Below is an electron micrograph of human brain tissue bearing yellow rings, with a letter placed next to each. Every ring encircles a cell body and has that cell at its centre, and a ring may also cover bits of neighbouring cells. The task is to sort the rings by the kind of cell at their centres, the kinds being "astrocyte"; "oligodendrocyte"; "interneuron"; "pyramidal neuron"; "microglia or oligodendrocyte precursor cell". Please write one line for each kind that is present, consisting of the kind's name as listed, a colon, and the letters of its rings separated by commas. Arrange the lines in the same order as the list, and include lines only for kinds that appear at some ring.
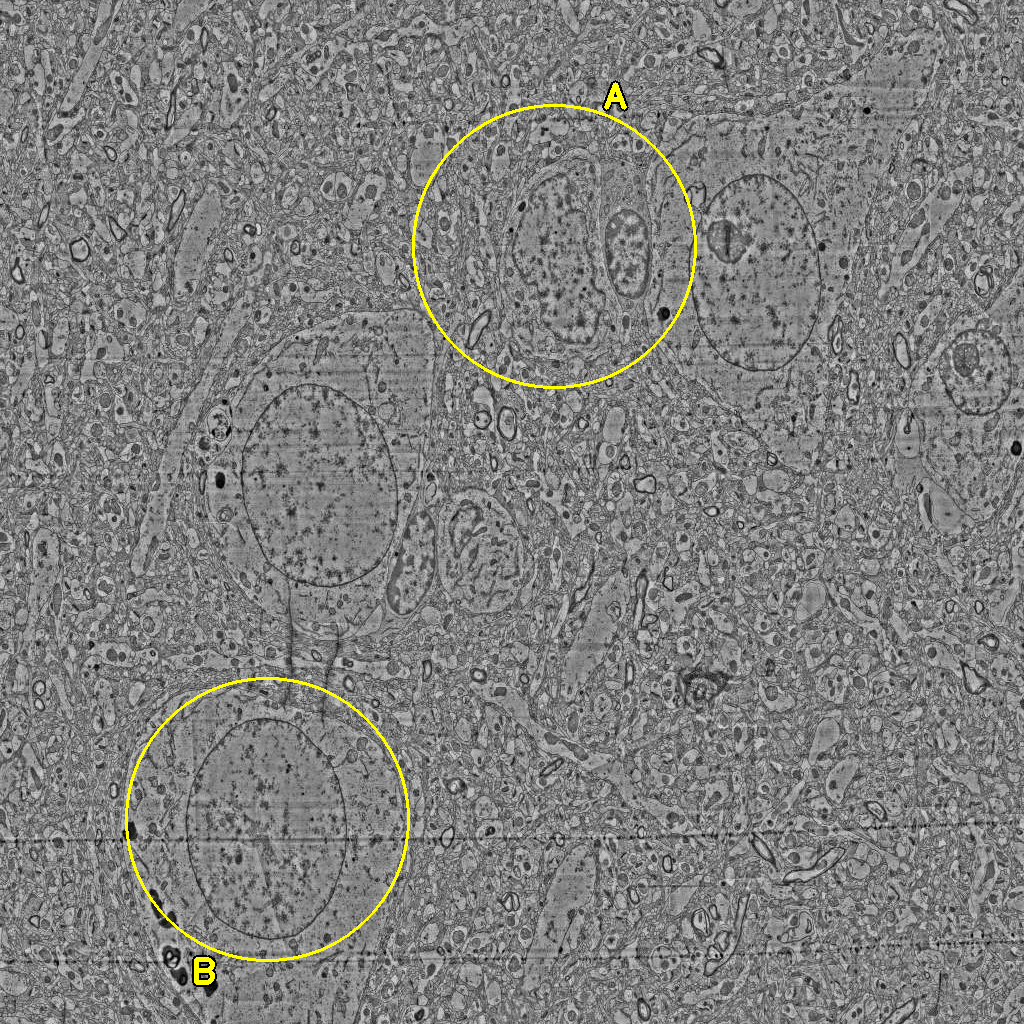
interneuron: A
pyramidal neuron: B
